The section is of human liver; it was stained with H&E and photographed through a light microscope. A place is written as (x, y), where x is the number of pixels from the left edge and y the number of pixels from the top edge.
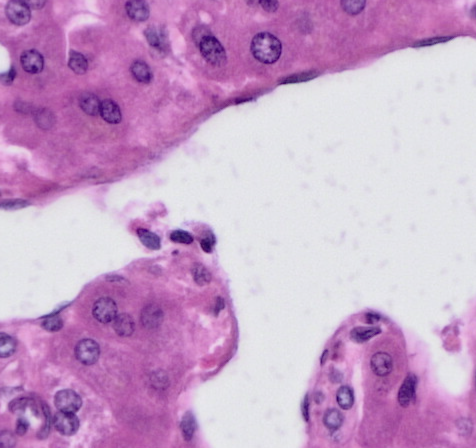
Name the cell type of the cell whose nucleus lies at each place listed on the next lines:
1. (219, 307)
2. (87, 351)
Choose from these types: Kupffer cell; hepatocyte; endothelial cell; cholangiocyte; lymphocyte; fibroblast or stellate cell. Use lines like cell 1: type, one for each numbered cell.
cell 1: fibroblast or stellate cell
cell 2: hepatocyte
